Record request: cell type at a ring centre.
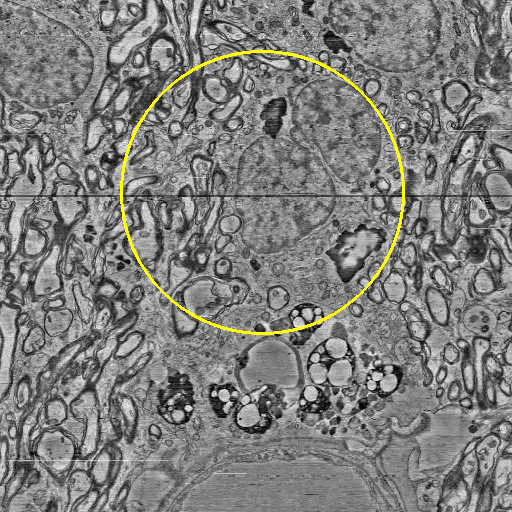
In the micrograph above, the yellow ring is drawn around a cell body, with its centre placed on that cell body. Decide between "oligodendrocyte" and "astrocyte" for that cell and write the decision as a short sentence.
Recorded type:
The cell centred in the yellow ring is an oligodendrocyte.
